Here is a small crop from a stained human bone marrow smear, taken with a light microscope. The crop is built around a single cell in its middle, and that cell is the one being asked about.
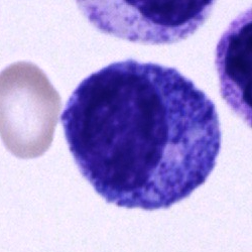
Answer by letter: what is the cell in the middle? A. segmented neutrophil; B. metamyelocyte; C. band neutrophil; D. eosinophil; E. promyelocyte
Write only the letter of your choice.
E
